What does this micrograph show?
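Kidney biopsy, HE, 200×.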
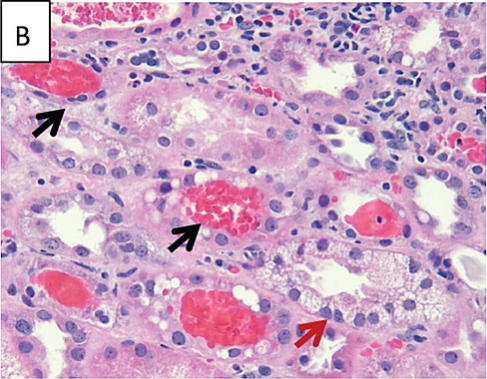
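Several tubular lumens are filled with densely packed red blood cells, forming red blood cell casts. One tubule is lined by epithelial cells whose cytoplasm is pale and foamy with many small clear vacuoles. Interstitium with scattered small dark nuclei lies between the tubules.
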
